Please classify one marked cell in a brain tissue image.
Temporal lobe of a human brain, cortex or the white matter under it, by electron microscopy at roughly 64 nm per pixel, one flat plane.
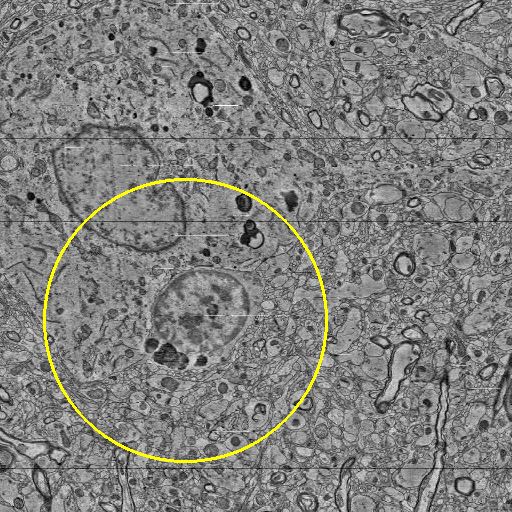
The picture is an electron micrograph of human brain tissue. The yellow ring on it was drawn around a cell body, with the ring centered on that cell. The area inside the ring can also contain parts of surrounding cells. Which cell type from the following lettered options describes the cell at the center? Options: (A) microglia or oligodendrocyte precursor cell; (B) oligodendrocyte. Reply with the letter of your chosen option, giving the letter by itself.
B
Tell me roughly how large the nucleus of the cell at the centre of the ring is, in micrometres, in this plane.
In this plane the nucleus measures roughly 6 micrometres across.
